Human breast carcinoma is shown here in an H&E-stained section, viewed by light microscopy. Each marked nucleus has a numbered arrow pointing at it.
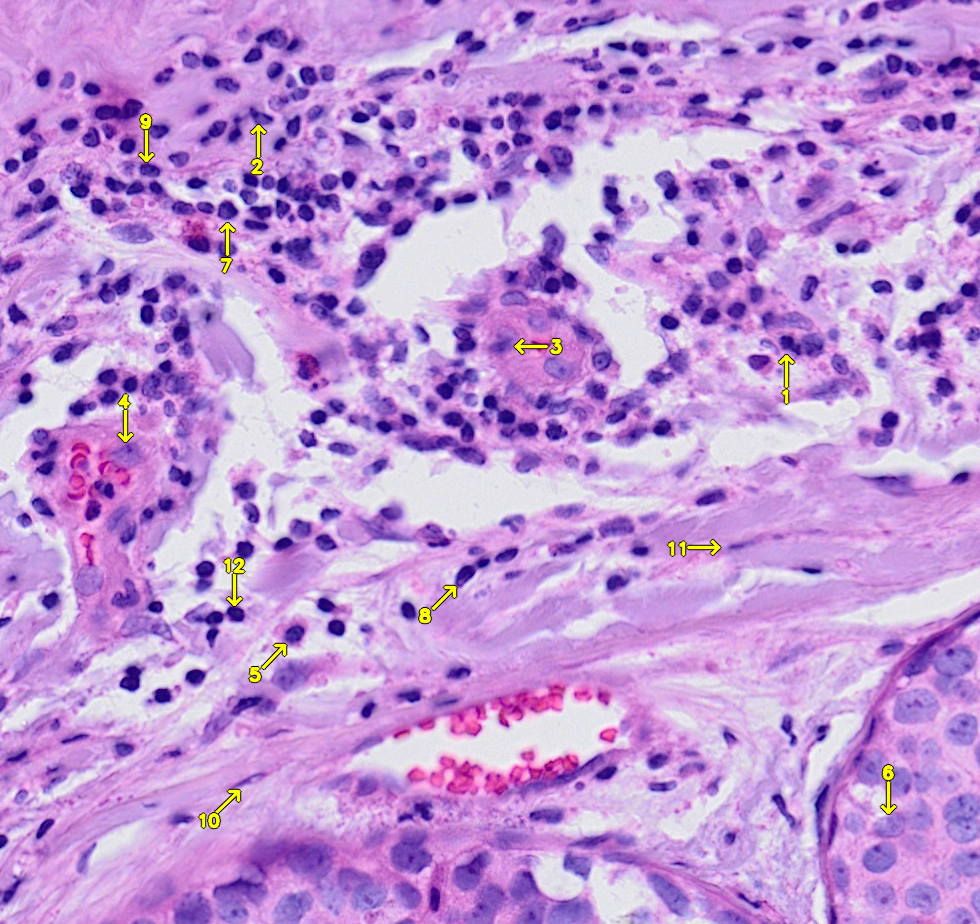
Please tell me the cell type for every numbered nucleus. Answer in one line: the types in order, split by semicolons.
lymphocyte; lymphocyte; endothelial cell; endothelial cell; mast cell; carcinoma cell; lymphocyte; lymphocyte; lymphocyte; fibroblast; fibroblast; lymphocyte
